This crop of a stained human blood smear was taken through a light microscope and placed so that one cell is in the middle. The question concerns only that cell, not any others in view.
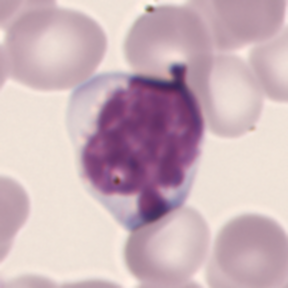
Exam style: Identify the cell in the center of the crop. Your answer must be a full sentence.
At the center of the crop sits a large granular lymphocyte.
